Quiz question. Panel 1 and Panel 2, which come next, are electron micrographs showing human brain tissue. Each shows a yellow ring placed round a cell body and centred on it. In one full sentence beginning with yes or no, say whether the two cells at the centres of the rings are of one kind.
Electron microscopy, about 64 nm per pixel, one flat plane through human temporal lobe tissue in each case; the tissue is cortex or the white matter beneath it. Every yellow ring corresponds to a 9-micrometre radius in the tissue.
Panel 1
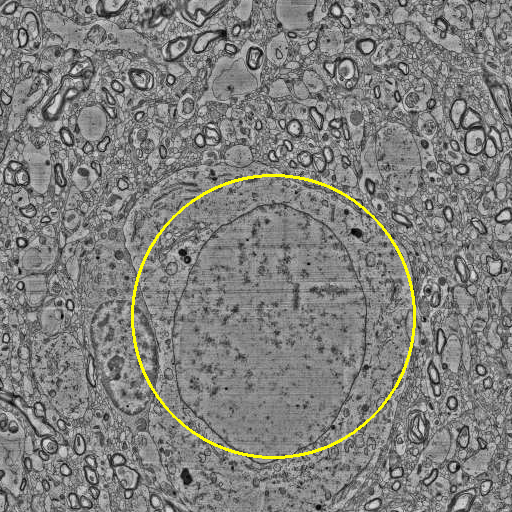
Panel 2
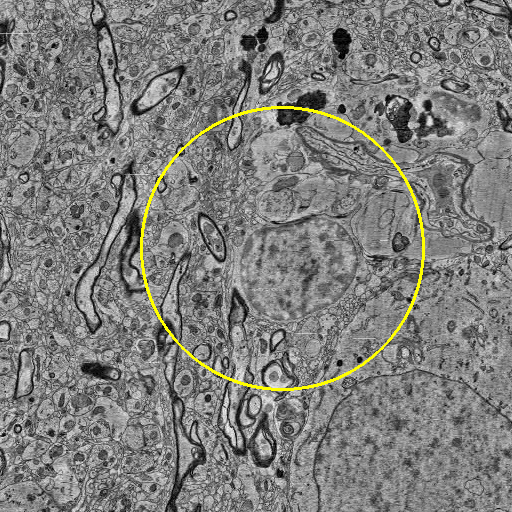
No, Panel 1 and Panel 2 show two kinds of cell at the centre of the ring.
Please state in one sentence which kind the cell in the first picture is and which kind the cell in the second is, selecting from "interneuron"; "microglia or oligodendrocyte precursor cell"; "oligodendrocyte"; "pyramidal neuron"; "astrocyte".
The first ringed cell is a pyramidal neuron, the second ringed cell an oligodendrocyte.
